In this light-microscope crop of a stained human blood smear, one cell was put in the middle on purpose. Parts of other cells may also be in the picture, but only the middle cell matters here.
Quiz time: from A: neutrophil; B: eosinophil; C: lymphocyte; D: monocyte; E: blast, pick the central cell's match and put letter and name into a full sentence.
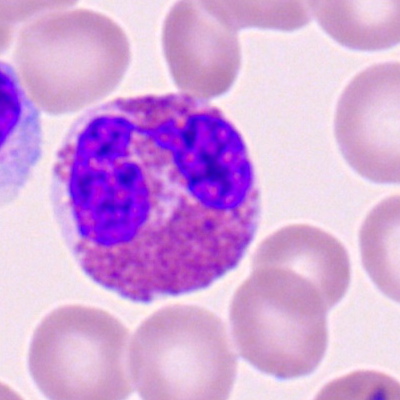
Option B, which names the central cell as an eosinophil, is correct.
